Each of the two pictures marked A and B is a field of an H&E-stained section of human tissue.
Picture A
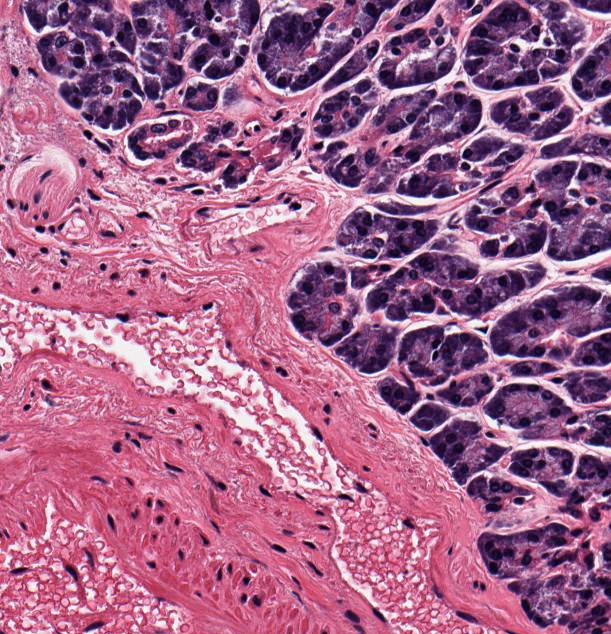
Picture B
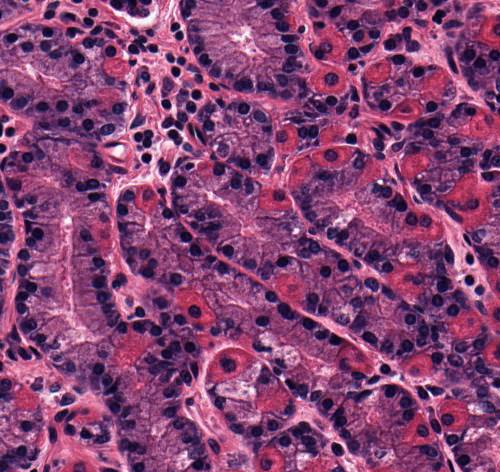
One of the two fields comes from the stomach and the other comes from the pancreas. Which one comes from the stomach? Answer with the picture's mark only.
B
